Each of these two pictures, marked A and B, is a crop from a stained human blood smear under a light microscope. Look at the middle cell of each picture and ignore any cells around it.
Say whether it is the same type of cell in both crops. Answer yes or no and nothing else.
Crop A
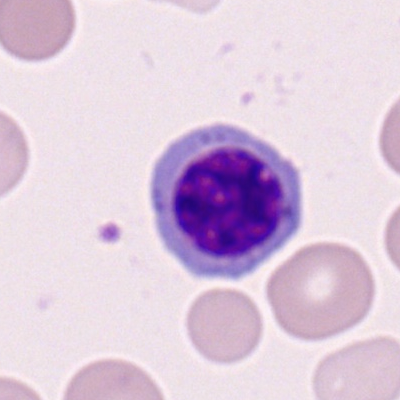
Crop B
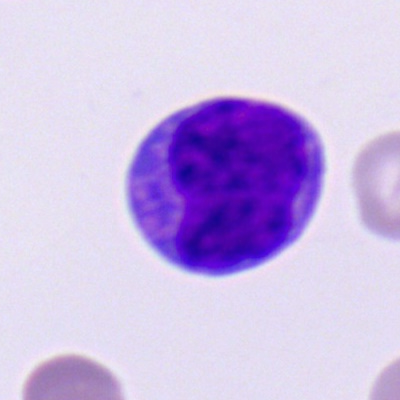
no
